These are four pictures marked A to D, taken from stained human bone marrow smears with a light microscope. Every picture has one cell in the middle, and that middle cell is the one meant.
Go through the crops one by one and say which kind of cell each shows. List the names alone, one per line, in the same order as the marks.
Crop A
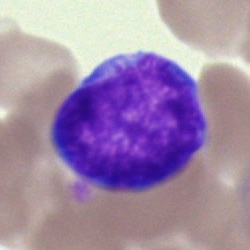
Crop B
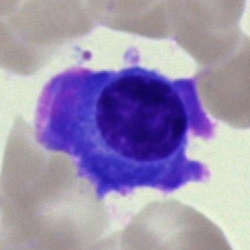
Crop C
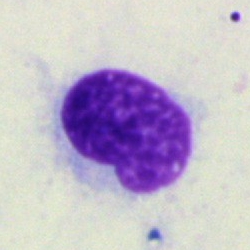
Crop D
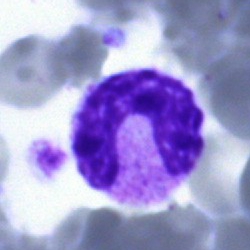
blast
plasma cell
hairy cell
band neutrophil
